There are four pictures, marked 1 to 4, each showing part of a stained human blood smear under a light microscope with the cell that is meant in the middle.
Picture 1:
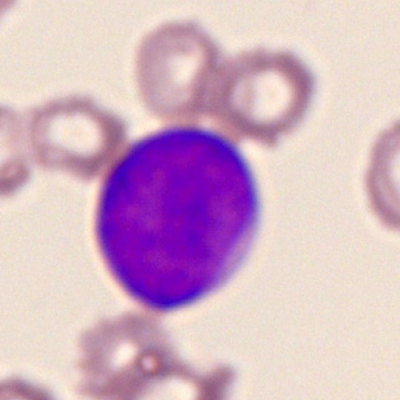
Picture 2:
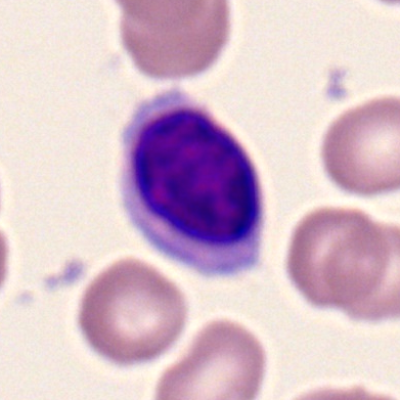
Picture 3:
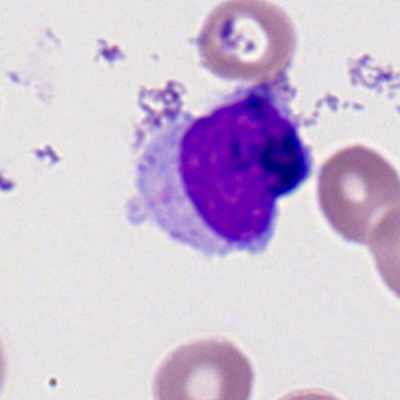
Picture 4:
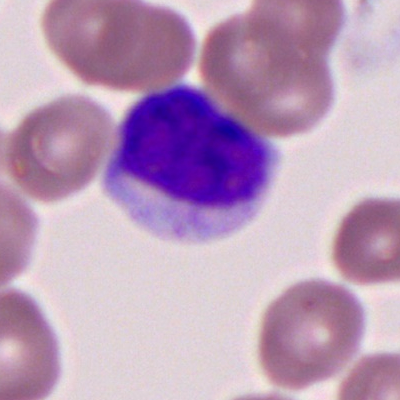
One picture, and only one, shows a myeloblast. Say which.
1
